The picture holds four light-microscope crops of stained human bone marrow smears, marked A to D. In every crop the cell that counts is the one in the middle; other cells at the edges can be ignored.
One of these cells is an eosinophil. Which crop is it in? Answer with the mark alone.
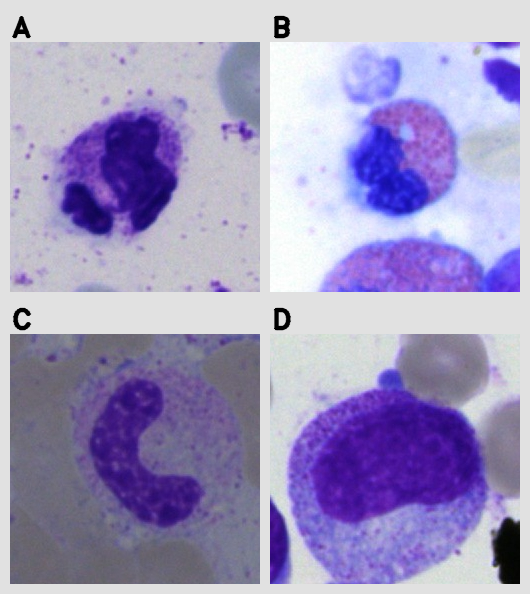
B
